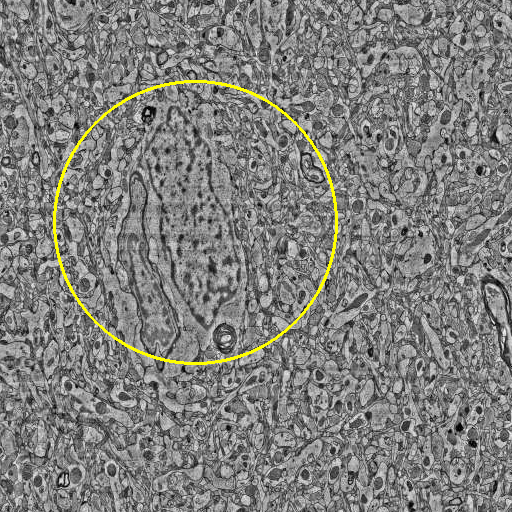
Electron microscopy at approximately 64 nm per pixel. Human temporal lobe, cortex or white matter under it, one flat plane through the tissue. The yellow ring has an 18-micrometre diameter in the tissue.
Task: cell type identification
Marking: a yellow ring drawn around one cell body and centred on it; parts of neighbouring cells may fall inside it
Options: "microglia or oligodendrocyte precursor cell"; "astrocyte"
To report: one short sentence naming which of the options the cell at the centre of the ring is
The cell at the centre of the ring is a microglial cell or oligodendrocyte precursor cell.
